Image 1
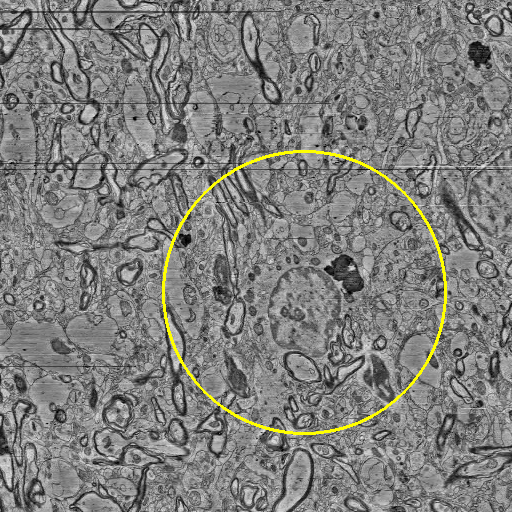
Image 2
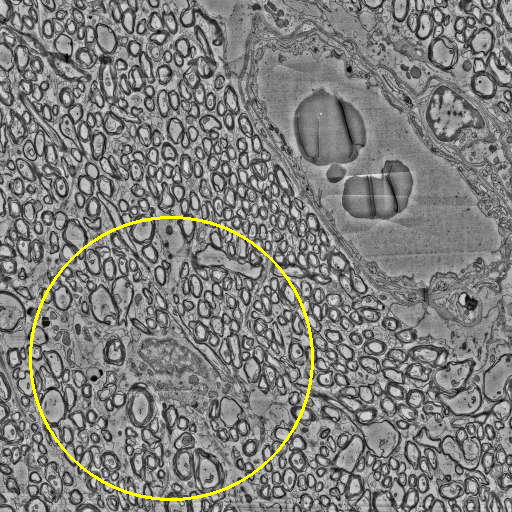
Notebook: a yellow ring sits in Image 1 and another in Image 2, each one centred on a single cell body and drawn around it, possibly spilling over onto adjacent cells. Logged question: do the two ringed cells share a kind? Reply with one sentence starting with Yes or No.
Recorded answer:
Yes, both centre cells inside the rings of Image 1 and Image 2 share one kind.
